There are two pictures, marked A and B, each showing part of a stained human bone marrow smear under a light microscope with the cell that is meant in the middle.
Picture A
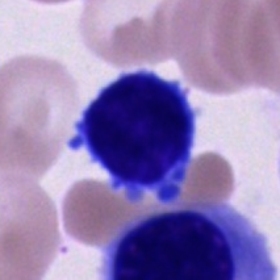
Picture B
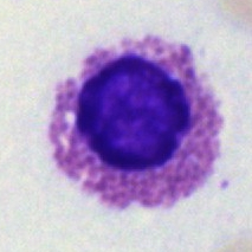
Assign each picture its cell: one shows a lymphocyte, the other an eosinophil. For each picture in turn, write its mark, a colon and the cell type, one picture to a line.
A: lymphocyte
B: eosinophil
